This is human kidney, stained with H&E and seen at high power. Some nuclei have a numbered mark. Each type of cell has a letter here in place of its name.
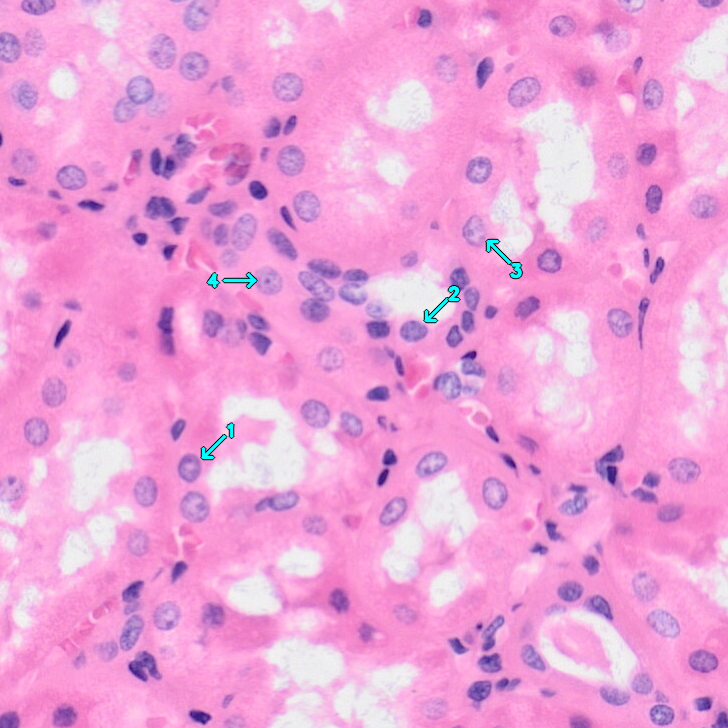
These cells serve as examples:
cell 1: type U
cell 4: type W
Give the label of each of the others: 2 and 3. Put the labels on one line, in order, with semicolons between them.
type W; type U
